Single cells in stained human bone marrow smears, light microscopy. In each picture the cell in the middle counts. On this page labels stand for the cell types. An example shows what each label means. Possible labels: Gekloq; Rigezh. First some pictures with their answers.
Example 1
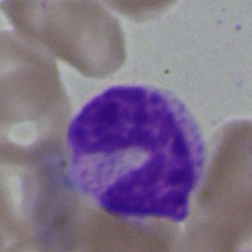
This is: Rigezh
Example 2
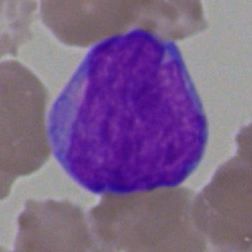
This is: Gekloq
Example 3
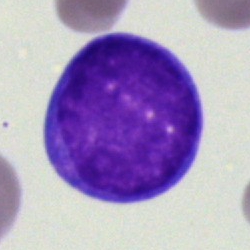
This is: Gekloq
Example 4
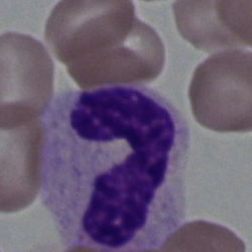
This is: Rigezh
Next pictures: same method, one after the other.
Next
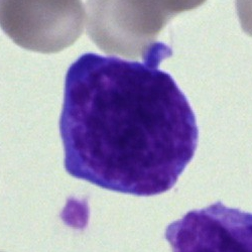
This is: Gekloq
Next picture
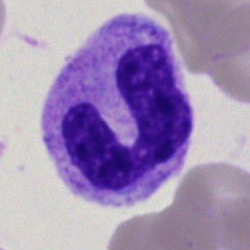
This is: Rigezh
